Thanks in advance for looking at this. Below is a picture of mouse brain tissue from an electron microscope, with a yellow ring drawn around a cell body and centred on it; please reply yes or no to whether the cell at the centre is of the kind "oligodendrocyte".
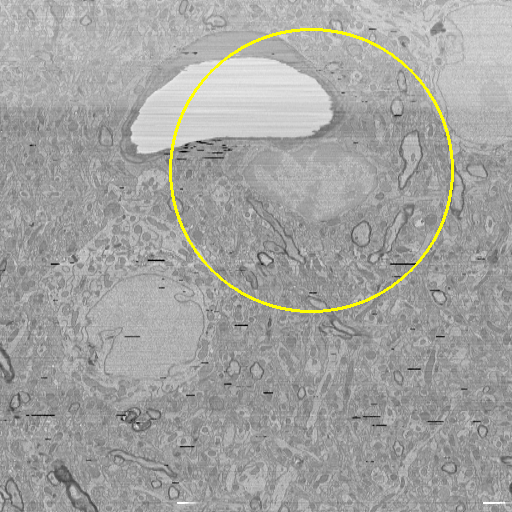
yes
